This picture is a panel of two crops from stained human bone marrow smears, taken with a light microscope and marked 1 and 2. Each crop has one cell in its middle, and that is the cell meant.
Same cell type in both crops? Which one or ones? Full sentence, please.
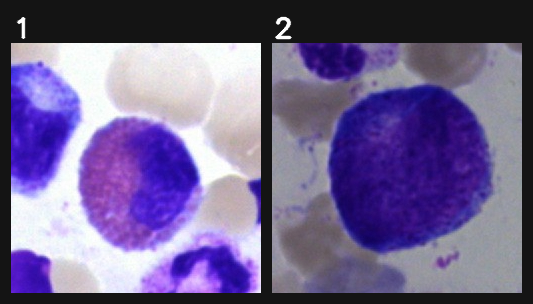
No, crop 1 presents an eosinophil; crop 2 presents a promyelocyte.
